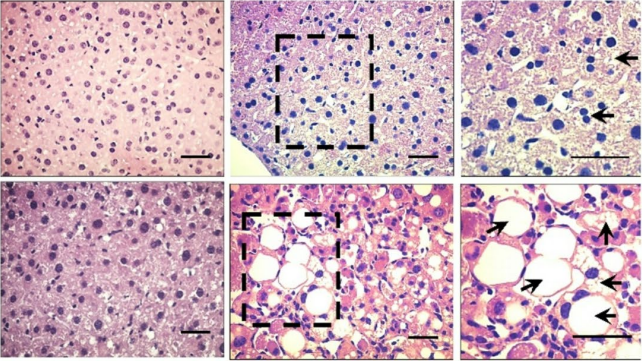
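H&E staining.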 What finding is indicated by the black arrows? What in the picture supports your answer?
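Round clear empty vacuoles inside the tissue. The vacuoles vary in size, some larger than a nucleus. Vacuoles lie among polygonal cells with round nuclei. That points to this answer: fat accumulation.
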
